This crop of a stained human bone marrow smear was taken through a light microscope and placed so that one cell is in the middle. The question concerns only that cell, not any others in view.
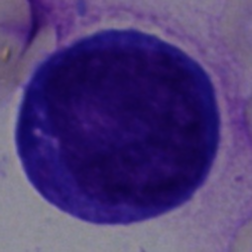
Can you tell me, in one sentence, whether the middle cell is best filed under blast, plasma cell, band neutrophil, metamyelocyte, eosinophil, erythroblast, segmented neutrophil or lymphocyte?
Looking at the middle of the crop, the cell there is a blast.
